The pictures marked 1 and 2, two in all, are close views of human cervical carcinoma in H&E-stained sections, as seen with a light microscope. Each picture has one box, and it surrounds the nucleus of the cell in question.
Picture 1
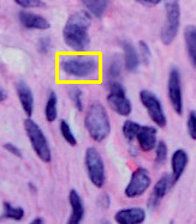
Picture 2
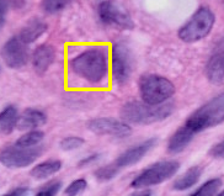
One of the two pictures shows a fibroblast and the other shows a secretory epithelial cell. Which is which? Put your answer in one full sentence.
The cell in picture 1 is a fibroblast, and the one in picture 2 is a secretory epithelial cell.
